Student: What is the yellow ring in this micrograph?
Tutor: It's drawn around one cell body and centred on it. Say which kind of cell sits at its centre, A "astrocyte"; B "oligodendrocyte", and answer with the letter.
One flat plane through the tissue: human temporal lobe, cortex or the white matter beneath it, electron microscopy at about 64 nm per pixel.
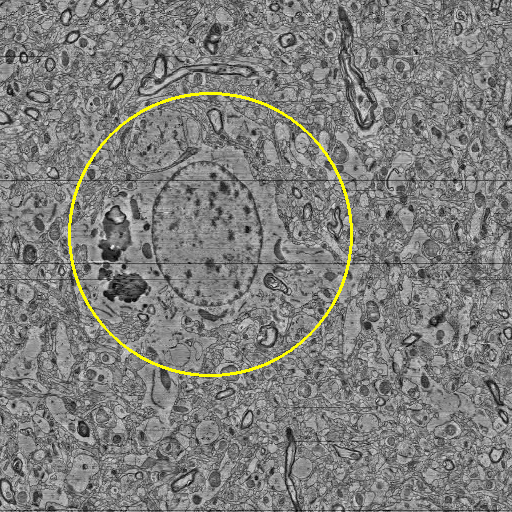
A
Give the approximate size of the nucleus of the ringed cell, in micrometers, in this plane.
About 10 micrometres by about 7 micrometres in this plane.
